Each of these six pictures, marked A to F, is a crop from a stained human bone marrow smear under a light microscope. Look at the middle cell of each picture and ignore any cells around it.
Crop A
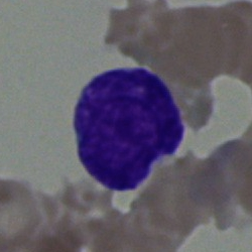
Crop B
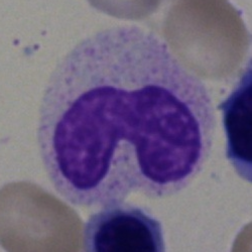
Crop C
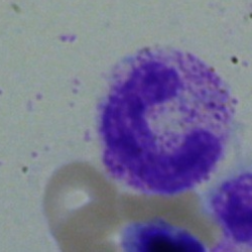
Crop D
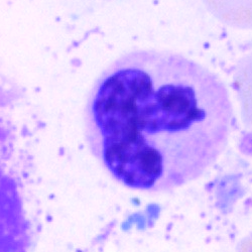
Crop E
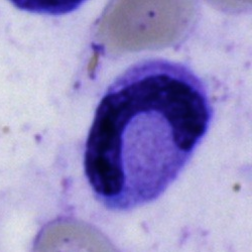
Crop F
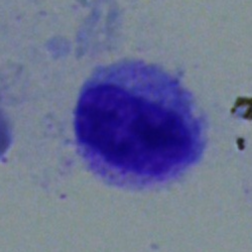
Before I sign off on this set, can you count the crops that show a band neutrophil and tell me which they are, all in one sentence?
In total, three crops show band neutrophils, namely B, C and E.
